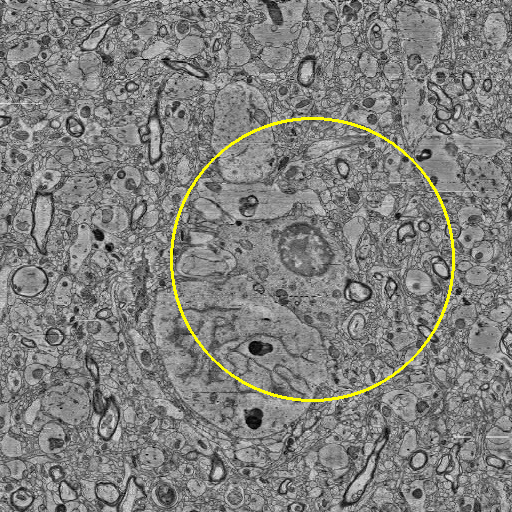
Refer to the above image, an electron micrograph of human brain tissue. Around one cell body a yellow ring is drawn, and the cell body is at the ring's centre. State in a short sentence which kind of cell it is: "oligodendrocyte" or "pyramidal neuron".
The centre of the ring falls on an oligodendrocyte.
